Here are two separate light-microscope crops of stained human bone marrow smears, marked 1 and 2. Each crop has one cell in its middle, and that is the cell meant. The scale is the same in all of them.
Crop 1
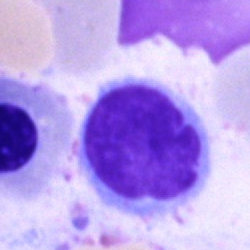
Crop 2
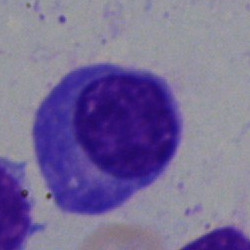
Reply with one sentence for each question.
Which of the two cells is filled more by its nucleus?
Of the two, the nucleus in crop 1 makes up the greater part of its cell.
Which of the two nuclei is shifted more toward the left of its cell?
It is the nucleus in crop 1 that lies further toward the left of its cell.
